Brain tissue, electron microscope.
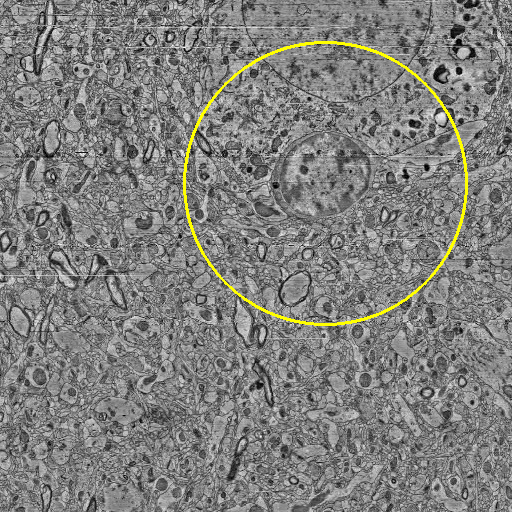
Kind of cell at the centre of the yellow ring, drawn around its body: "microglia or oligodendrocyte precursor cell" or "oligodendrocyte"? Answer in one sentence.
The ring's centre falls on an oligodendrocyte.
